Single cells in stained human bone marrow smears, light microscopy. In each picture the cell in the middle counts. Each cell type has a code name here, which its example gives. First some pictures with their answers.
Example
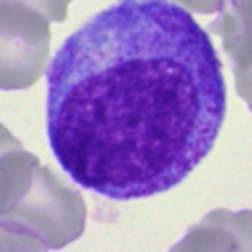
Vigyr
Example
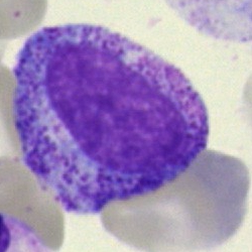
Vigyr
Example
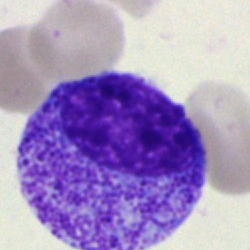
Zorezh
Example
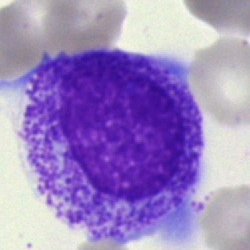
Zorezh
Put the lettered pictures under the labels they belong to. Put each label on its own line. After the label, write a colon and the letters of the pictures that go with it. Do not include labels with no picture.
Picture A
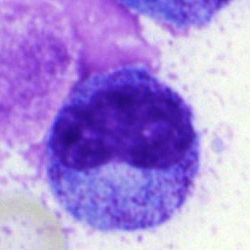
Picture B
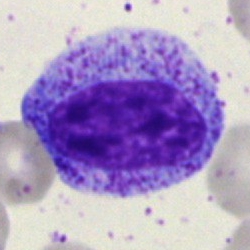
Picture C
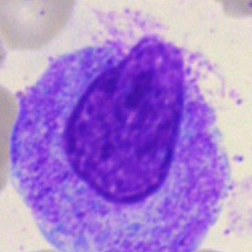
Vigyr: C
Zorezh: A, B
